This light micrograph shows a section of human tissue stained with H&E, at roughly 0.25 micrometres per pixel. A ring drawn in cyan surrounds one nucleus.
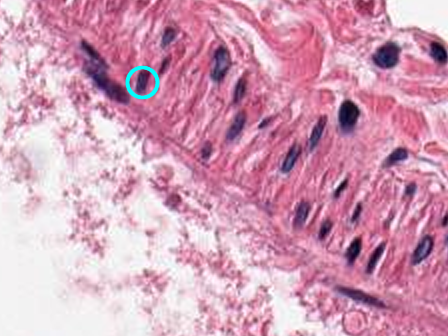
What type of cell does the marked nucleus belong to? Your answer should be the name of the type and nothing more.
smooth muscle cell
